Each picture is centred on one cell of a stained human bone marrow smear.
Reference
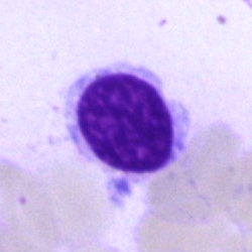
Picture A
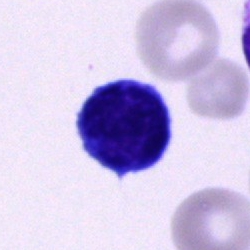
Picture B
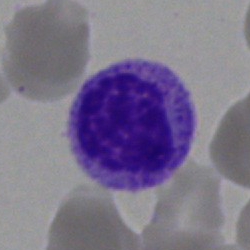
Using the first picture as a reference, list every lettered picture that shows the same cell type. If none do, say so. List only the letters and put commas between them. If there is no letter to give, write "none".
A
